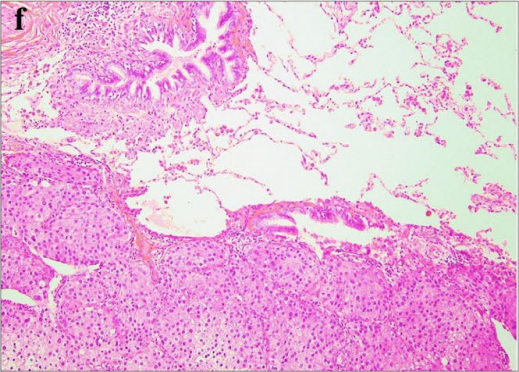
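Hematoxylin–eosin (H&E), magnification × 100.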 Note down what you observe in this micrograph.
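This section shows lung with a deposit of tumor. Solid sheets and nests of polygonal tumor cells with pink cytoplasm and round nuclei fill the lower part of the field. Above them, thin-walled alveolar spaces open out to the upper right. At the top, a small airway is lined by folded columnar epithelium. The tumor pushes against the lung tissue with a fairly sharp border.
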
